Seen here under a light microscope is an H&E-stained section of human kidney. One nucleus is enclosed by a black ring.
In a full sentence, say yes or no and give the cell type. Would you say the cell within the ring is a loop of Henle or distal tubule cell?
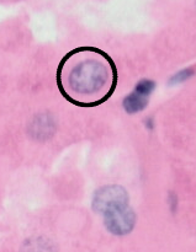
No, it is a proximal tubule cell that the cell within the ring is, rather than a loop of Henle or distal tubule cell.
